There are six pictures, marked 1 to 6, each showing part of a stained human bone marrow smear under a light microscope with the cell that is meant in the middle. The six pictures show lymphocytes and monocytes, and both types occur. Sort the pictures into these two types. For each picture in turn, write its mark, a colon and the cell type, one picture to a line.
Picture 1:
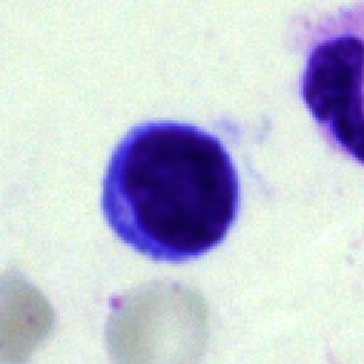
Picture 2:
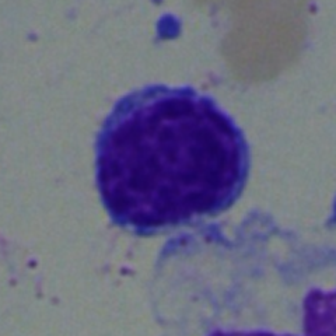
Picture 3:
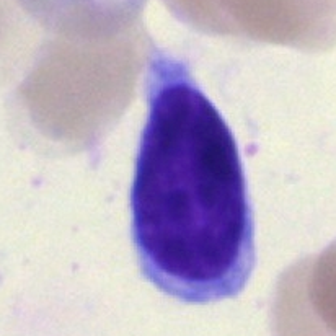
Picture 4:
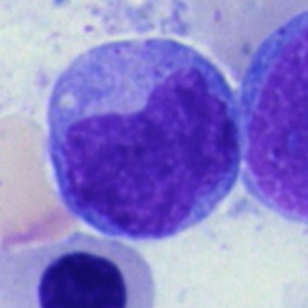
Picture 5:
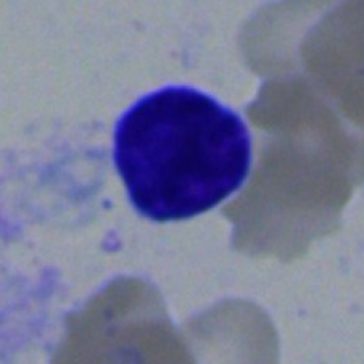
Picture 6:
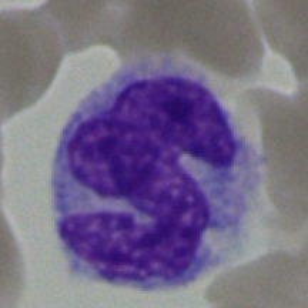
1: lymphocyte
2: lymphocyte
3: lymphocyte
4: monocyte
5: lymphocyte
6: monocyte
